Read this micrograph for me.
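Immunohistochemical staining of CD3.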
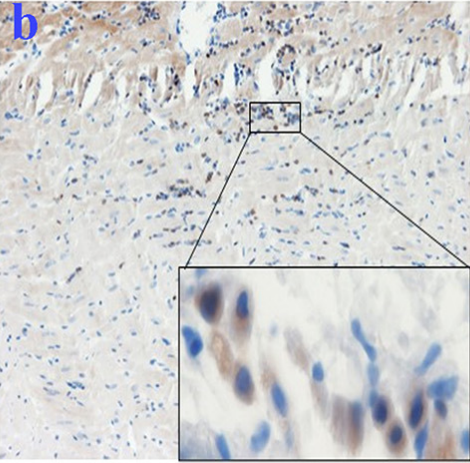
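This is tissue of long parallel fibres with elongated blue nuclei, into which many small round cells have infiltrated, lying in clusters and streaks and densest near the upper edge. In the enlarged inset these small infiltrating cells show round dark blue nuclei with a rim of brown-stained cytoplasm, set among paler elongated nuclei.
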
